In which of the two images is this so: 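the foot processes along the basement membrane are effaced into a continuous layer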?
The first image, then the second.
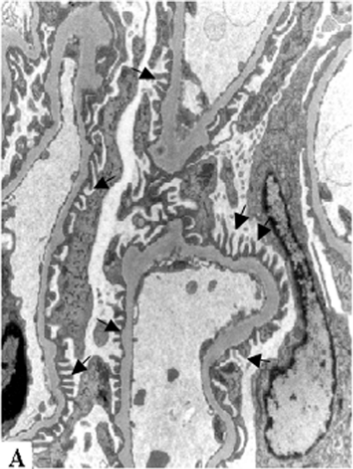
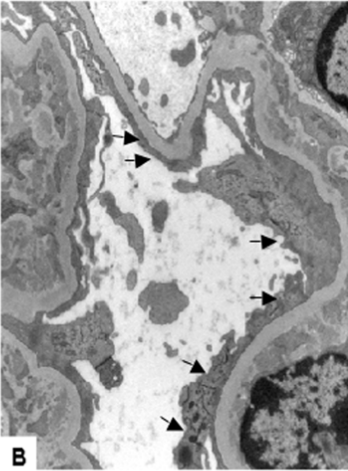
The second image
